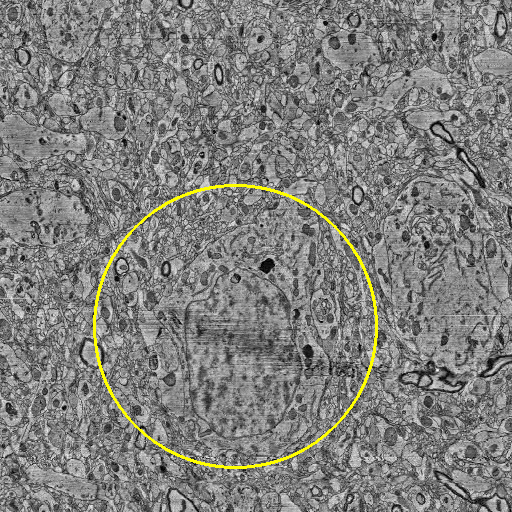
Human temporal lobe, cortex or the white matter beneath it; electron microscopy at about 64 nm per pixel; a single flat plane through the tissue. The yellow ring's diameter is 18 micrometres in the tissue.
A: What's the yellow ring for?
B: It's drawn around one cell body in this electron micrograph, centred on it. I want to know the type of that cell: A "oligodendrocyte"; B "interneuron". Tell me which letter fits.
B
